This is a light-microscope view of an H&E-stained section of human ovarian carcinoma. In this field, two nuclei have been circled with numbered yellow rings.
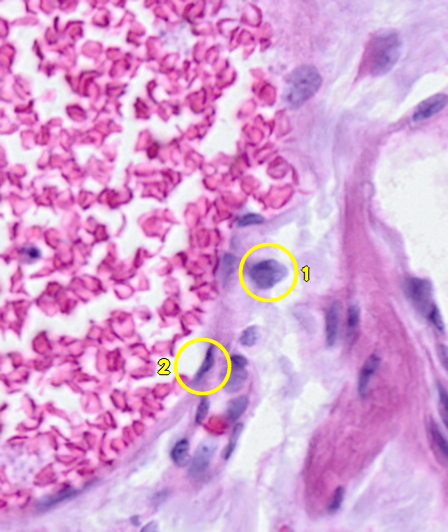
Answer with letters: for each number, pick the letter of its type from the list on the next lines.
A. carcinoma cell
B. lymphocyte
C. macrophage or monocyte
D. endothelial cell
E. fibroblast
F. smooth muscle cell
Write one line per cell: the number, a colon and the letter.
1: E
2: D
